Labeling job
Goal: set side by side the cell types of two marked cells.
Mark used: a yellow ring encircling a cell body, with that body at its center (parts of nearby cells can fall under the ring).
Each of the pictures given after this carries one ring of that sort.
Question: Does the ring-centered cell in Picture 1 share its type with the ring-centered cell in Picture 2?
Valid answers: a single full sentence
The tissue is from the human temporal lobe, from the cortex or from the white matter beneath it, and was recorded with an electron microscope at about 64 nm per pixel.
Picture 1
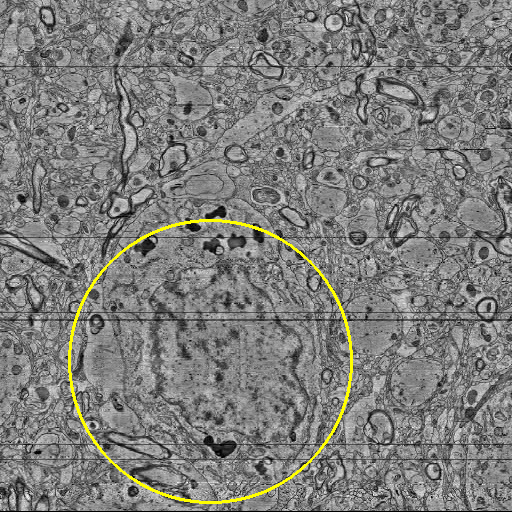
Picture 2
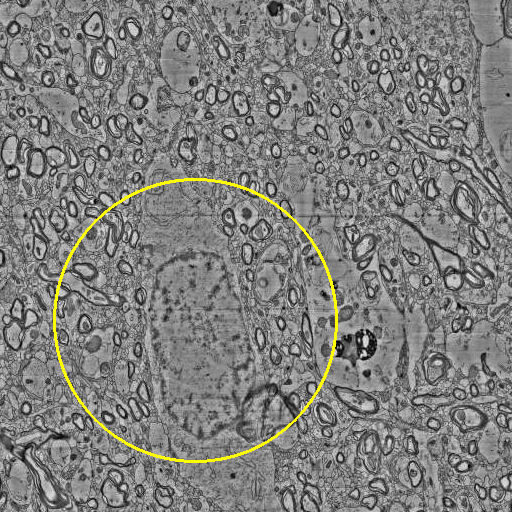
Yes, in Pictures 1 and 2 the cells at the ring centers share one type.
